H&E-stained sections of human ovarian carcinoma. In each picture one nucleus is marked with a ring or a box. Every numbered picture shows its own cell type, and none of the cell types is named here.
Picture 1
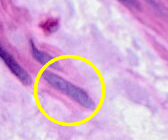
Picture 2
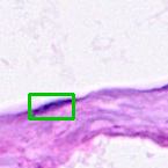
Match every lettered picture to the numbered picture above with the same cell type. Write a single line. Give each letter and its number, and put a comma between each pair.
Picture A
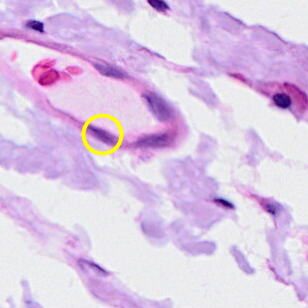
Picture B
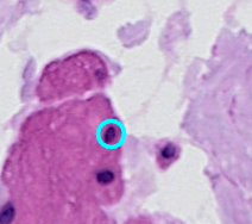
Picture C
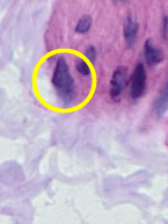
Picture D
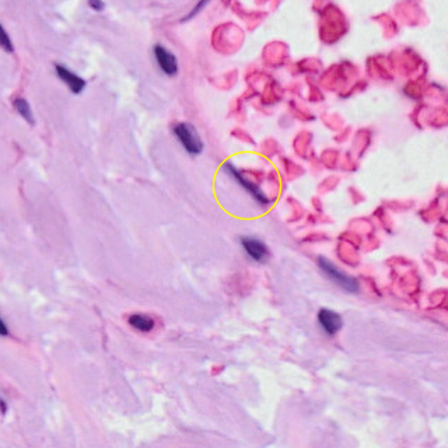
A 2, B 1, C 1, D 2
